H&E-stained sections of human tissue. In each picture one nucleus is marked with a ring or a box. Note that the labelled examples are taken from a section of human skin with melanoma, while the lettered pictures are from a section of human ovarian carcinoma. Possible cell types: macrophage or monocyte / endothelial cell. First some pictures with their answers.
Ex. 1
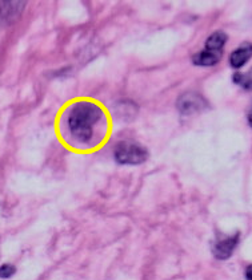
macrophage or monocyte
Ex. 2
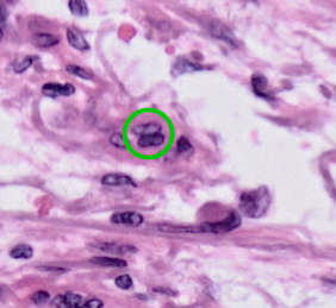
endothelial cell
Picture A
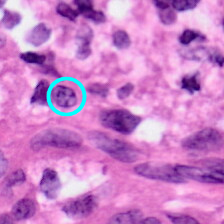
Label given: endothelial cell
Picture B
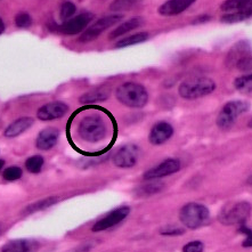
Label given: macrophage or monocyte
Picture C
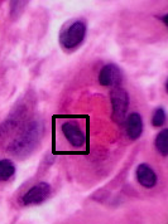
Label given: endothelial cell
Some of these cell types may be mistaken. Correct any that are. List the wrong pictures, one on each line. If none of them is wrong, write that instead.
Wrong: A (endothelial cell); correct: macrophage or monocyte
